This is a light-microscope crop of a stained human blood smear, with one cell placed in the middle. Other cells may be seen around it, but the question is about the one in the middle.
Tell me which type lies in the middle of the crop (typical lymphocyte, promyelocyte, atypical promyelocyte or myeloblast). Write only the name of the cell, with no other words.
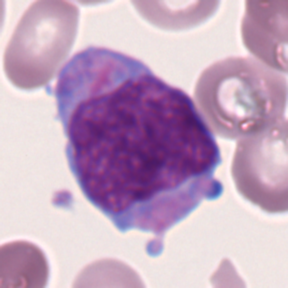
atypical promyelocyte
